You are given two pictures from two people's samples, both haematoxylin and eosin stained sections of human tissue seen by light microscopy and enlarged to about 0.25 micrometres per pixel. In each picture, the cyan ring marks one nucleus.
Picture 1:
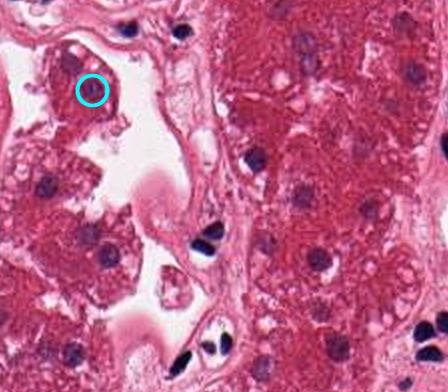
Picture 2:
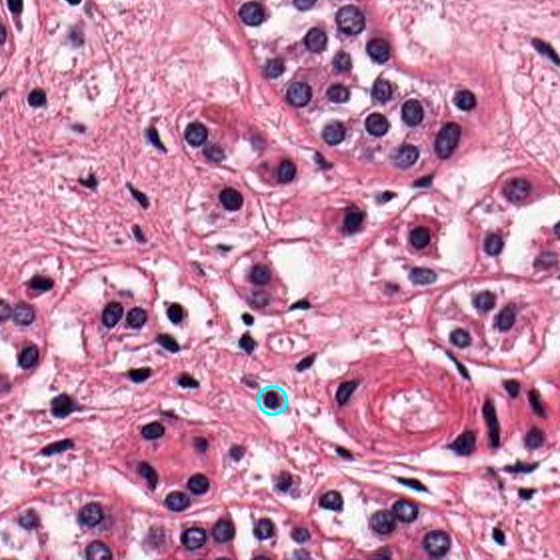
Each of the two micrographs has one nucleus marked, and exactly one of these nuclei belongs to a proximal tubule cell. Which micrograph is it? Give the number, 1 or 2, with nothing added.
1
